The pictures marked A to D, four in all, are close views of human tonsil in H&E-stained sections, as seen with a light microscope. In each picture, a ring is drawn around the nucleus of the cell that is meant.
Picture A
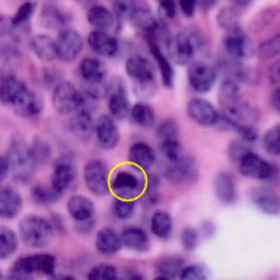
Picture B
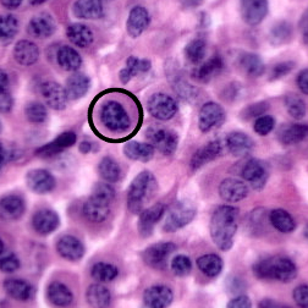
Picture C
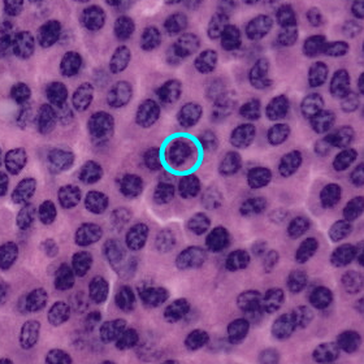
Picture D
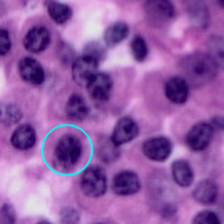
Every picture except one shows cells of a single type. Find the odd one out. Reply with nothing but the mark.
A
